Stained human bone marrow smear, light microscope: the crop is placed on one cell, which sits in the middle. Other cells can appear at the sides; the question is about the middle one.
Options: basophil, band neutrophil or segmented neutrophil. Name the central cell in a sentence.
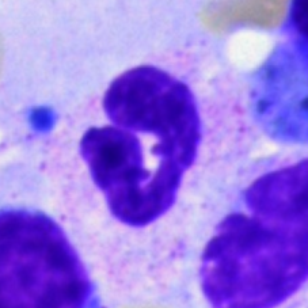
The center cell of this crop is a segmented neutrophil.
